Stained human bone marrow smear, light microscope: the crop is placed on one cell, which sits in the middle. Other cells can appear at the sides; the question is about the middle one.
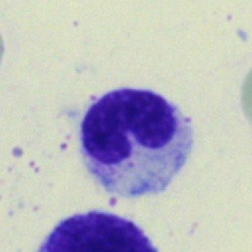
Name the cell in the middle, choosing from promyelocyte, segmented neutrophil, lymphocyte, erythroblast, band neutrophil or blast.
band neutrophil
